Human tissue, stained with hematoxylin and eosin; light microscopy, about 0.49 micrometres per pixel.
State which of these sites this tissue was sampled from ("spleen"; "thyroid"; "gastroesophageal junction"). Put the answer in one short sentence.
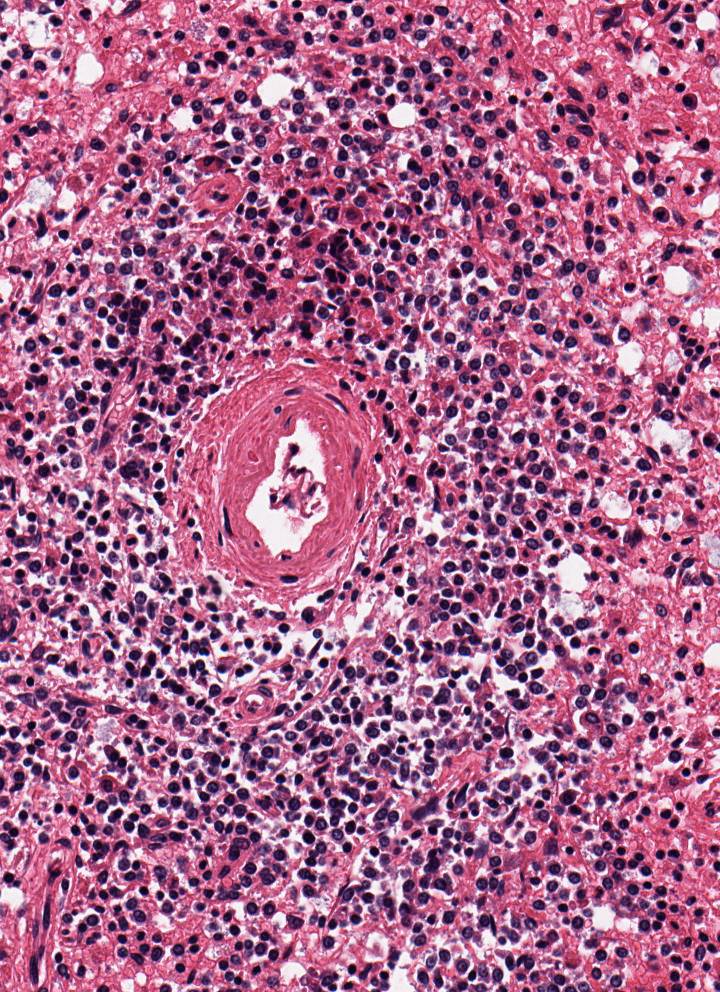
The site this tissue was sampled from is the spleen.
